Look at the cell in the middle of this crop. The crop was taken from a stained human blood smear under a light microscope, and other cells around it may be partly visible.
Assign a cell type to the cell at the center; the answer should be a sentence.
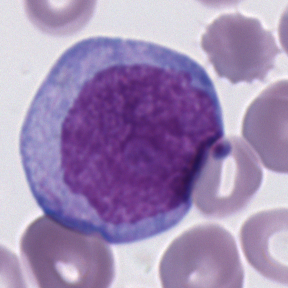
In this crop, the cell at the very middle is a promyelocyte.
